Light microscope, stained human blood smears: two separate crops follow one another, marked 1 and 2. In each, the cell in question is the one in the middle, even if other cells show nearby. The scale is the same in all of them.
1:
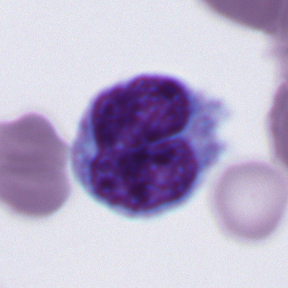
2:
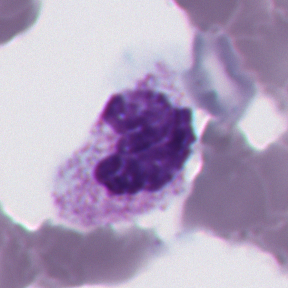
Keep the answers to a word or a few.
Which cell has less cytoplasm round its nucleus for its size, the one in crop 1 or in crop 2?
1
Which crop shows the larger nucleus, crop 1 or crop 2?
1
